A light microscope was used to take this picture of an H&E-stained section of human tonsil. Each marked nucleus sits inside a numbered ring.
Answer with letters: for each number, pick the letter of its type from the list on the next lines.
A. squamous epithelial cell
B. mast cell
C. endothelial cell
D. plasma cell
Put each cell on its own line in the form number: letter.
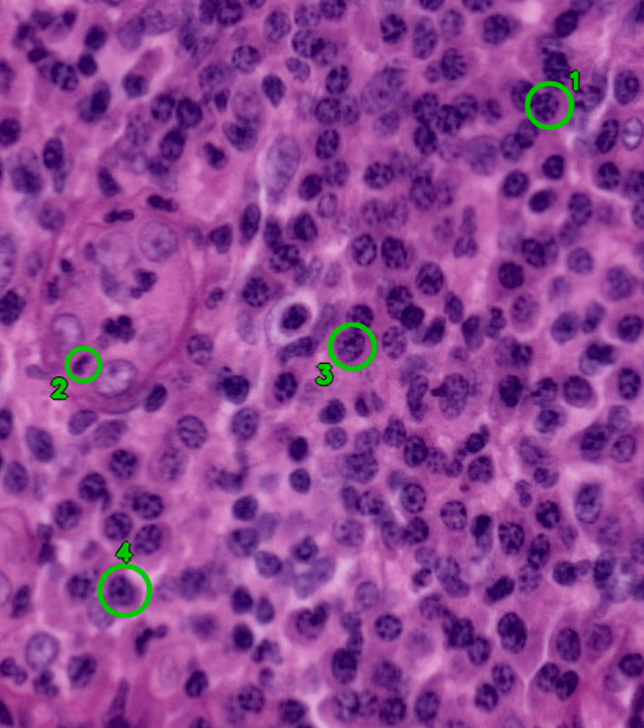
1: D
2: C
3: D
4: D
